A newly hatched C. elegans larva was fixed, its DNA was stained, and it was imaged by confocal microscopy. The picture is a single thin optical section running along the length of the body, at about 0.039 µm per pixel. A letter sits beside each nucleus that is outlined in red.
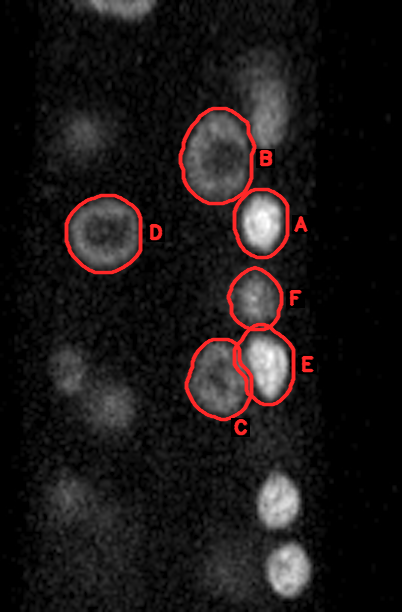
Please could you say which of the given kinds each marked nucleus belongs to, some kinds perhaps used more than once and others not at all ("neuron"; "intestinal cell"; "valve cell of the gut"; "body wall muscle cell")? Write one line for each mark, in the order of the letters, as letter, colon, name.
A: neuron
B: intestinal cell
C: intestinal cell
D: intestinal cell
E: neuron
F: body wall muscle cell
